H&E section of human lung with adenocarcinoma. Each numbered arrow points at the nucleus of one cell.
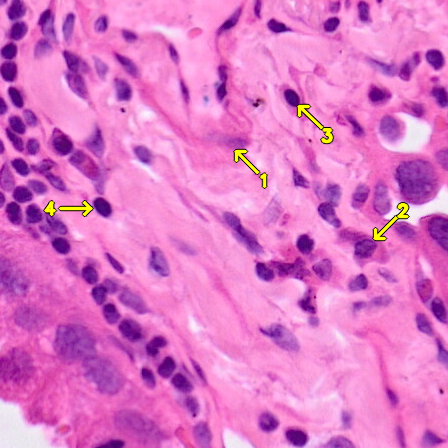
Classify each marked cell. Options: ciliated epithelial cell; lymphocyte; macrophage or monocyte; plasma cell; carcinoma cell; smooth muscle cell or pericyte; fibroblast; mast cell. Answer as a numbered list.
1. smooth muscle cell or pericyte
2. plasma cell
3. mast cell
4. lymphocyte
